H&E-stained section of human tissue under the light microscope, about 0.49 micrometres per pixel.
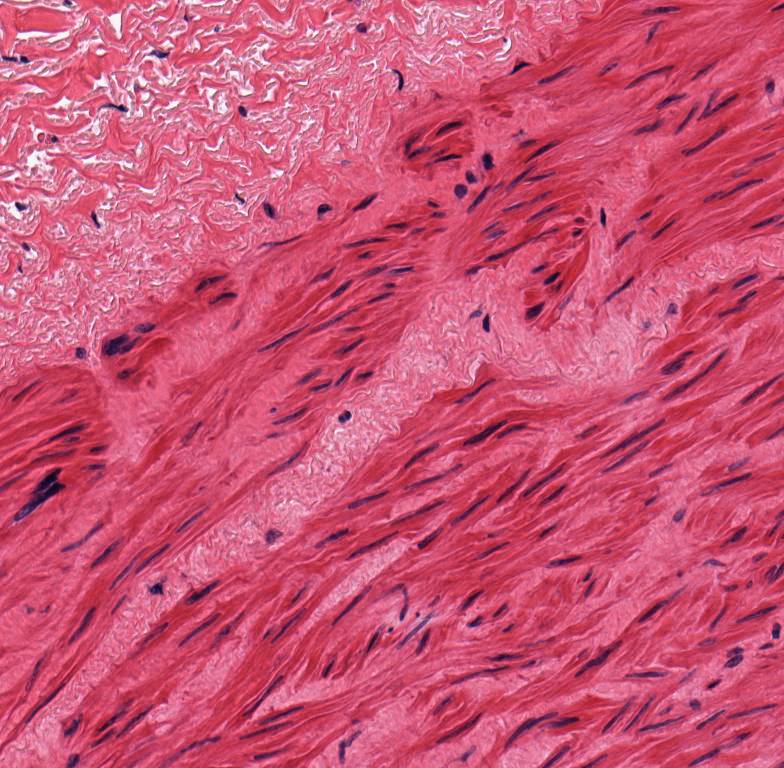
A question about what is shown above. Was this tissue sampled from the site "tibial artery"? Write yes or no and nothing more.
yes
